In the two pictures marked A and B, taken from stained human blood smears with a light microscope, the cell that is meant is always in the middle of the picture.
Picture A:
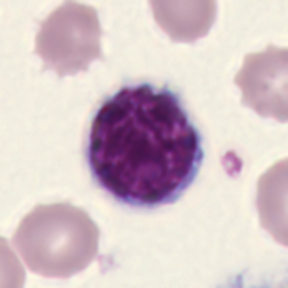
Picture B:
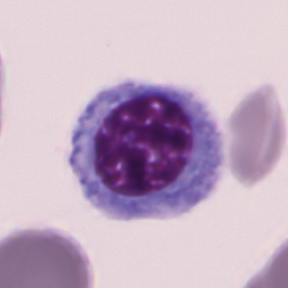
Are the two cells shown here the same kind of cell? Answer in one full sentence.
Yes, both are plasma cells.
